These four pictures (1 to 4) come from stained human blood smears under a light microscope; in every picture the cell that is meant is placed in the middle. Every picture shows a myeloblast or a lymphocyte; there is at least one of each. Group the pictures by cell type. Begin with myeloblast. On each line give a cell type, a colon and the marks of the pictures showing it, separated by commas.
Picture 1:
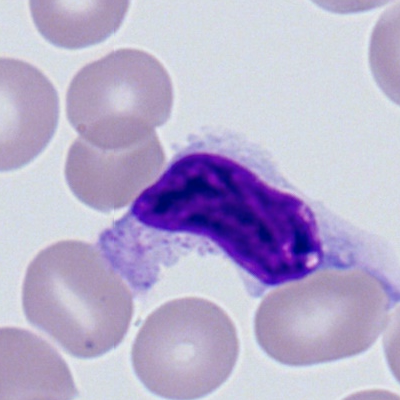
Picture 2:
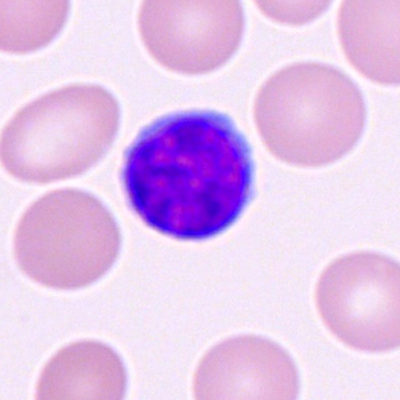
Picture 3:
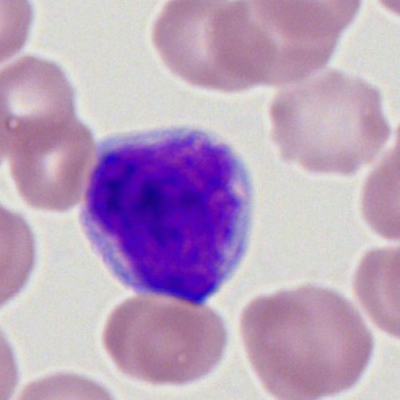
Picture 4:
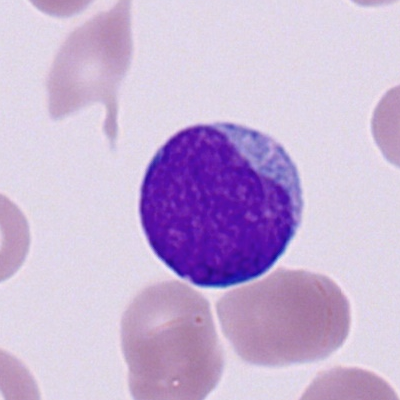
myeloblast: 3, 4
lymphocyte: 1, 2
